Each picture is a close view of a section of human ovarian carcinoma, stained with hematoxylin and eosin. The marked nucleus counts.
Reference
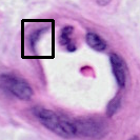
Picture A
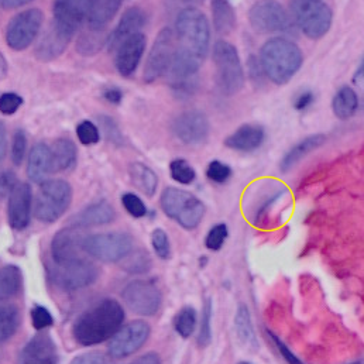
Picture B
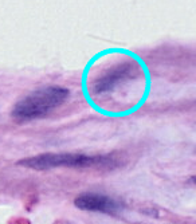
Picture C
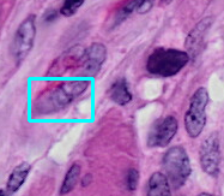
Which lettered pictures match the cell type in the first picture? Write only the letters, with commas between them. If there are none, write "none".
A, B, C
